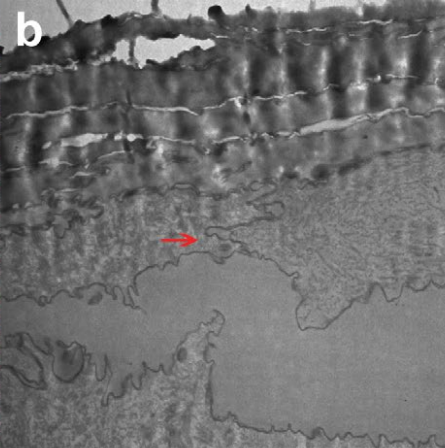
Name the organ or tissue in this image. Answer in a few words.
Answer: stratum corneum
